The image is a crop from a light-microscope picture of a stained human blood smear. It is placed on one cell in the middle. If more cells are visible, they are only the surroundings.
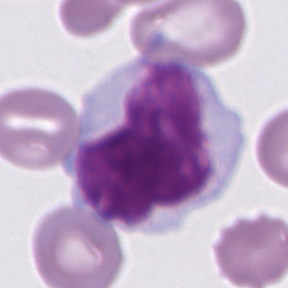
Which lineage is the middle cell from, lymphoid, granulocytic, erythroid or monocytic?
lymphoid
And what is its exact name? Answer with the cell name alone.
large granular lymphocyte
